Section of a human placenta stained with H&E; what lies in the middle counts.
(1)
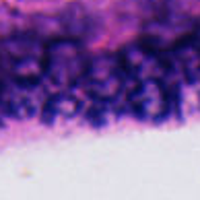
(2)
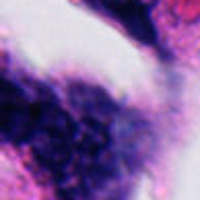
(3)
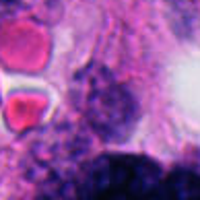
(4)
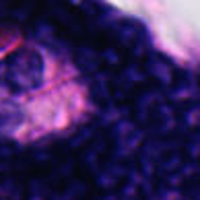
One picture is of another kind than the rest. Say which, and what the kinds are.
Picture 3 shows a cytotrophoblast; the rest show syncytial knots.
